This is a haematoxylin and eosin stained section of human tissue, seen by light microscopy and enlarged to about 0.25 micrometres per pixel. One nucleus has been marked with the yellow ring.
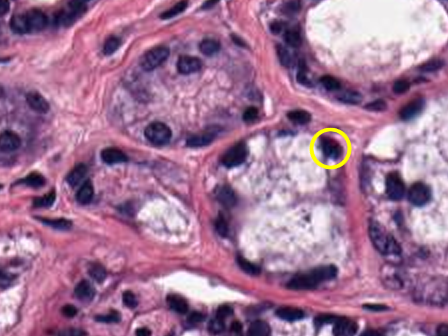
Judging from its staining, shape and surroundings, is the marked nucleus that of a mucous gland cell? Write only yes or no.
yes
